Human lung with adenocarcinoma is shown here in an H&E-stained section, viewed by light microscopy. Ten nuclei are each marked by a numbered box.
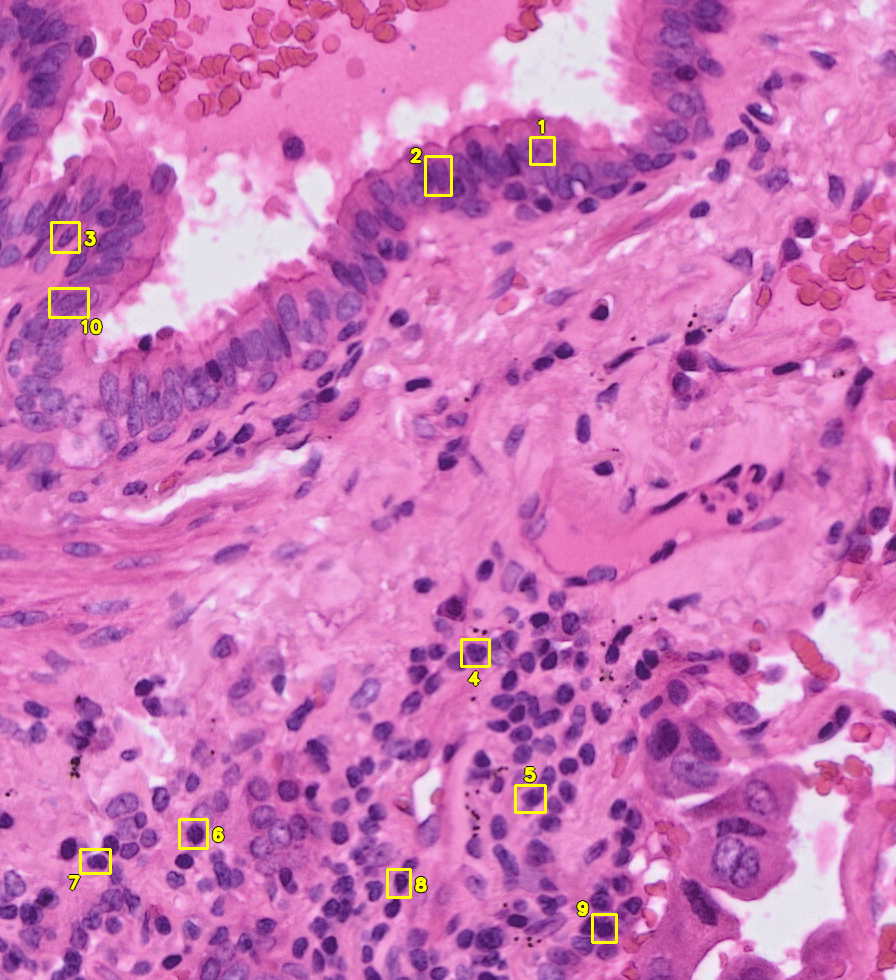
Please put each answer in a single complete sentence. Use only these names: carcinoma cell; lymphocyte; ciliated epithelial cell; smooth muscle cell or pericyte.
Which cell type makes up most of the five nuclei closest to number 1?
The majority of the five nuclei closest to number 1 belong to ciliated epithelial cells.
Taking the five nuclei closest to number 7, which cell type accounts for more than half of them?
Most of the five nuclei nearest to number 7 are those of lymphocytes.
